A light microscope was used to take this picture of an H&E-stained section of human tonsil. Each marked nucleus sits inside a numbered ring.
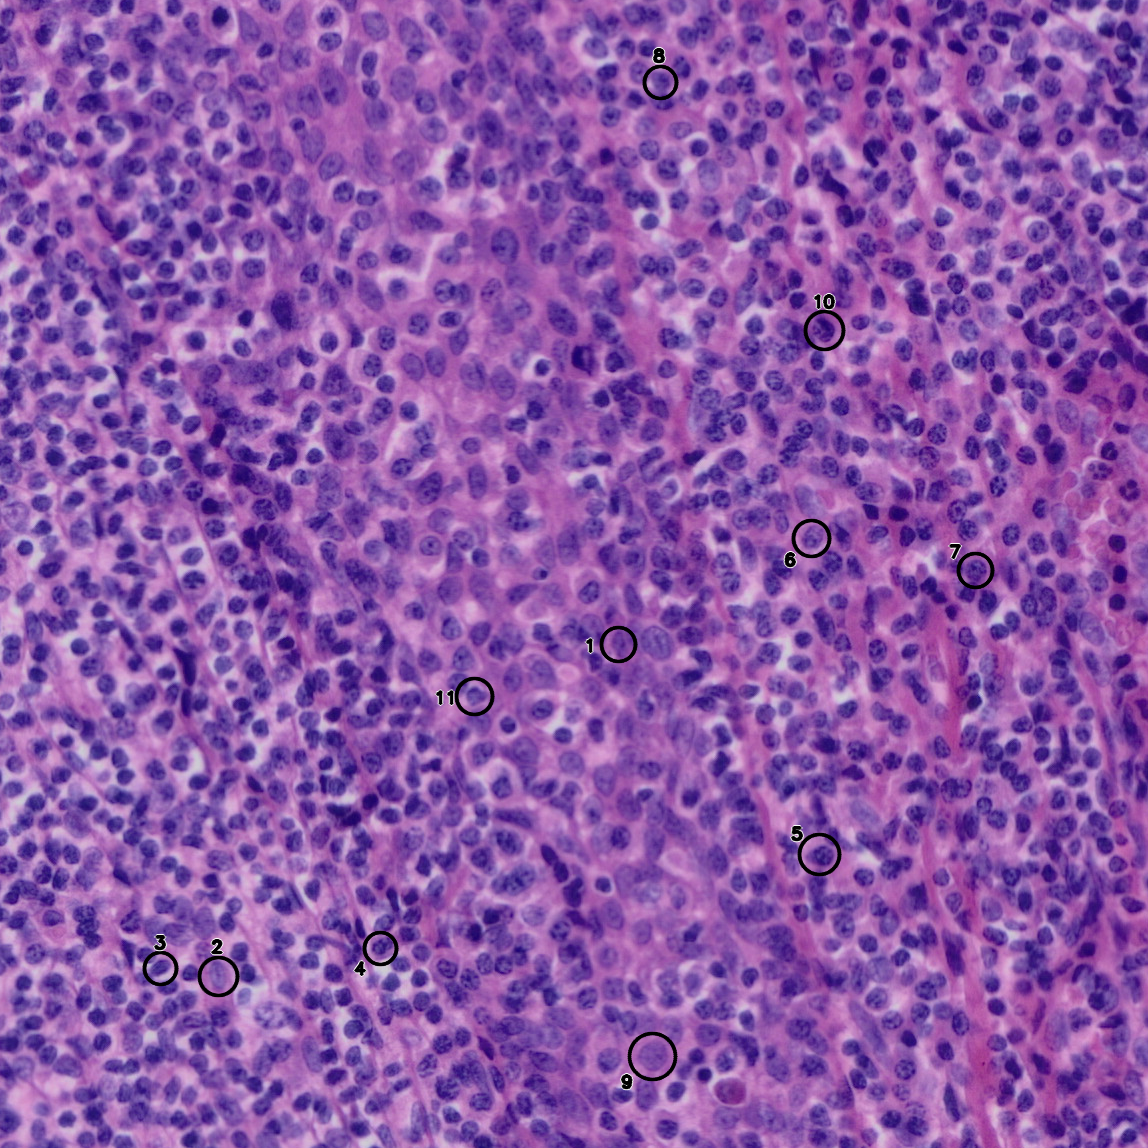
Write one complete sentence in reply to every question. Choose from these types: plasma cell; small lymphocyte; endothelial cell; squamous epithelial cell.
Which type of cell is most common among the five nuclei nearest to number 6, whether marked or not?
Endothelial cells account for more than half of the five nuclei nearest to number 6.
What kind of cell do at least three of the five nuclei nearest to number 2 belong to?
Small lymphocytes account for more than half of the five nuclei nearest to number 2.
